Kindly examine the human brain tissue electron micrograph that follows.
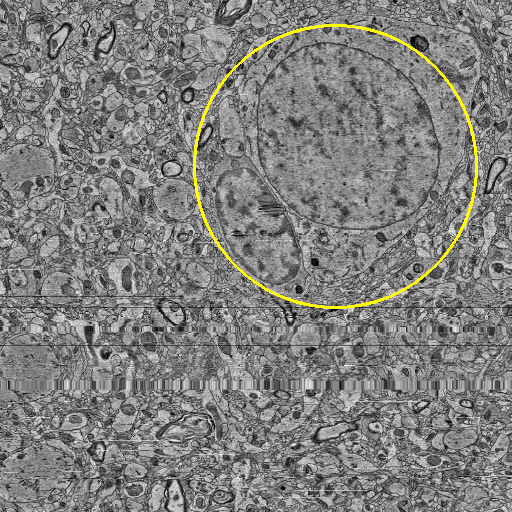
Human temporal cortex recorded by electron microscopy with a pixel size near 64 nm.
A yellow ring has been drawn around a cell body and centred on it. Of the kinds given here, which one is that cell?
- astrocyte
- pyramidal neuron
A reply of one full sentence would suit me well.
The micrograph's ringed cell, the one at the ring's centre, is a pyramidal neuron.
